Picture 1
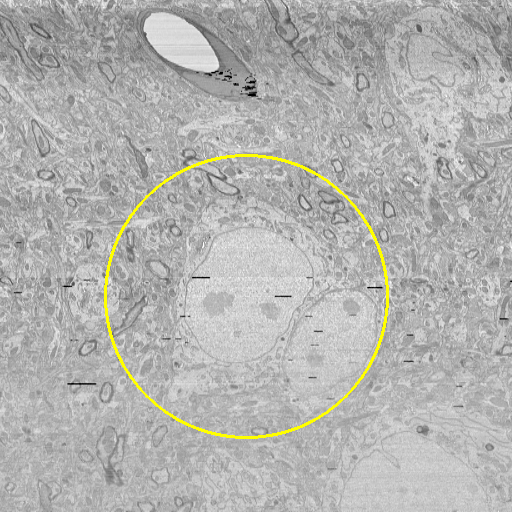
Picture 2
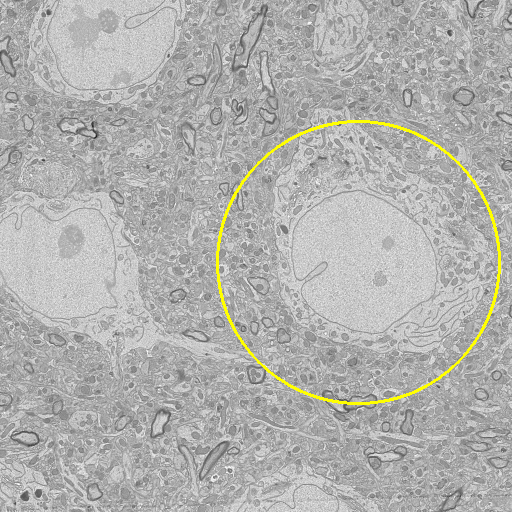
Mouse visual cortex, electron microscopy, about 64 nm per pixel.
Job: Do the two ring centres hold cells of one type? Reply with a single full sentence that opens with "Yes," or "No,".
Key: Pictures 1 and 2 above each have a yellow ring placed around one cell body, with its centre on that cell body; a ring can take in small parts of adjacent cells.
Yes, the cells at the two ring centres are of one single type.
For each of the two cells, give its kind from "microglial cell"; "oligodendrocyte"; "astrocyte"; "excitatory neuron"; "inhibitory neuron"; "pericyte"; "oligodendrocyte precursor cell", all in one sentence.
Both the first and the second picture show an excitatory neuron in the ring.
